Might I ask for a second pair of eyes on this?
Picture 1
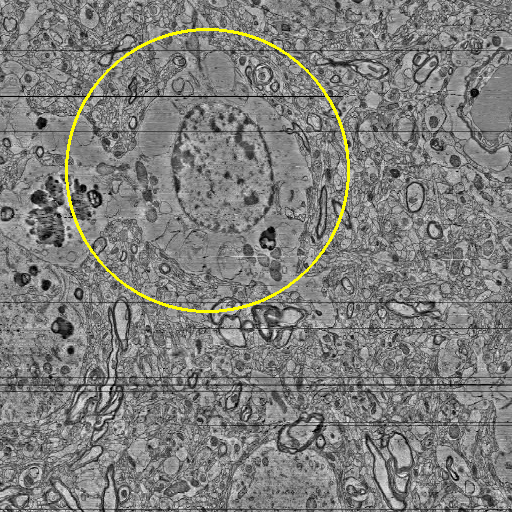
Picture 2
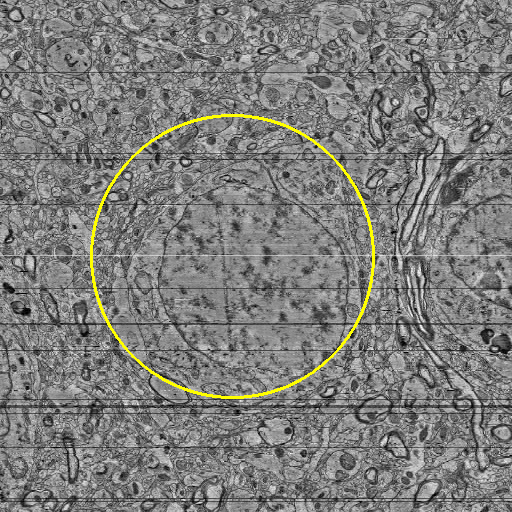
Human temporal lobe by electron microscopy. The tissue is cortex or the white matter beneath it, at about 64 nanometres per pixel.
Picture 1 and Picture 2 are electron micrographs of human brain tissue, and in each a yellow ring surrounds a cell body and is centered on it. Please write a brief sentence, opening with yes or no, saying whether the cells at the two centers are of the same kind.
No, the cells are of two kinds.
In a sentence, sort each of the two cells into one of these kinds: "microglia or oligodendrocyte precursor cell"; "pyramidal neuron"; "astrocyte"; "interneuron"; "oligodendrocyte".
The first of the two cells is an astrocyte, and the second is a pyramidal neuron.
